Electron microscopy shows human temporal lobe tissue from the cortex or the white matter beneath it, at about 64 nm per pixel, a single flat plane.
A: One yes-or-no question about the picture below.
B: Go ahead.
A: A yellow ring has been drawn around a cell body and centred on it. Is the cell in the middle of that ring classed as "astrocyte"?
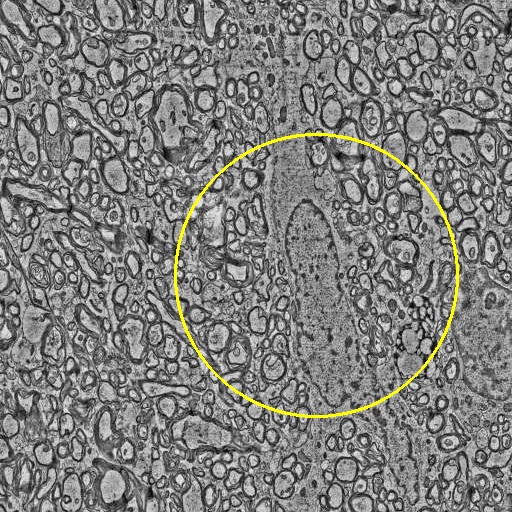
Yes, it is classed that way.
